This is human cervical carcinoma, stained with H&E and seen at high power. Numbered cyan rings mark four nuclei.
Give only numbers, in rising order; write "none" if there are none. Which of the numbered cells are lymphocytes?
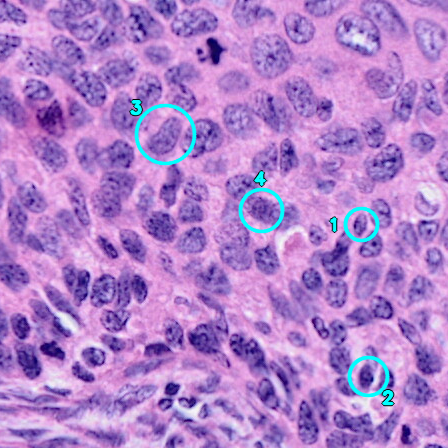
2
